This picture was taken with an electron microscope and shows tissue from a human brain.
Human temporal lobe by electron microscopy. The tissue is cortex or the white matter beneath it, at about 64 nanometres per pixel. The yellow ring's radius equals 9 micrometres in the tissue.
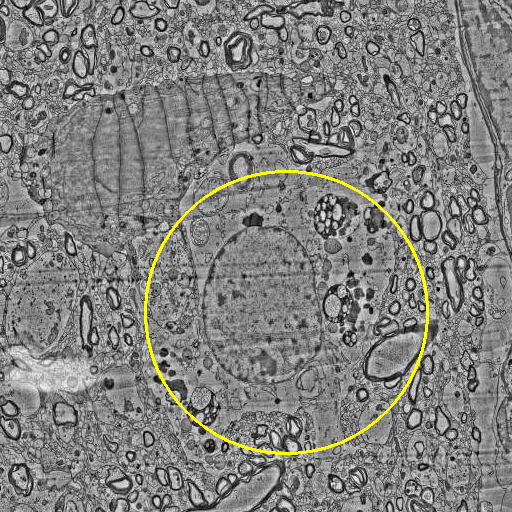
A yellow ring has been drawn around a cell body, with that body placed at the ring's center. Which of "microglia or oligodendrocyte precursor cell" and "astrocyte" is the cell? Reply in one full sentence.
In this picture, an astrocyte is the cell at the center of the yellow ring.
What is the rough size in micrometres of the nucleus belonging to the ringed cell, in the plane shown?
About 10 by 8 micrometres in this plane.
